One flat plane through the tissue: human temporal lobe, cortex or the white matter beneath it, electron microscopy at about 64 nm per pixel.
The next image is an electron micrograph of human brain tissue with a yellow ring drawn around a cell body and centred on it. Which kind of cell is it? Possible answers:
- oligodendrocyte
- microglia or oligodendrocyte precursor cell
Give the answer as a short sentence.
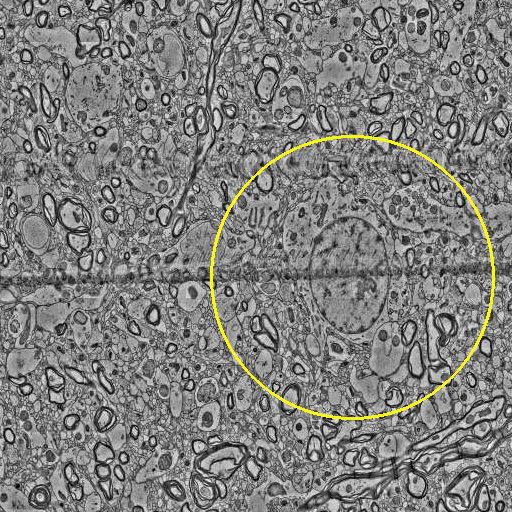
In the ring's centre is a microglial cell or oligodendrocyte precursor cell.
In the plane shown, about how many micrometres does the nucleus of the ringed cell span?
Roughly 7 by 6 micrometres in this plane, for the nucleus of the ringed cell.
